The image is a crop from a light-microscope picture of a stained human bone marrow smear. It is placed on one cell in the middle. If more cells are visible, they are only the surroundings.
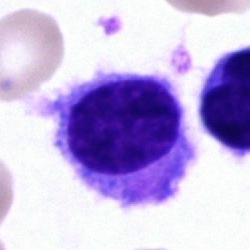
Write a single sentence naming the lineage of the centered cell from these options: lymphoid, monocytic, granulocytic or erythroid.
The cell held in the center of the crop belongs to the lymphoid lineage.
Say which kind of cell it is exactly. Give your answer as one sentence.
Present in the middle of the crop is a hairy cell.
